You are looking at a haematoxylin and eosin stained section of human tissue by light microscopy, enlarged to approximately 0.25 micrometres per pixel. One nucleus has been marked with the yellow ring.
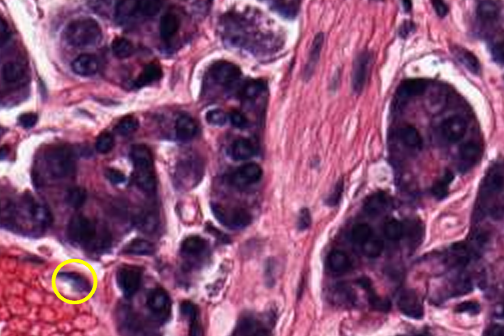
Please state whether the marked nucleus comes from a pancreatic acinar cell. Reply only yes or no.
no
